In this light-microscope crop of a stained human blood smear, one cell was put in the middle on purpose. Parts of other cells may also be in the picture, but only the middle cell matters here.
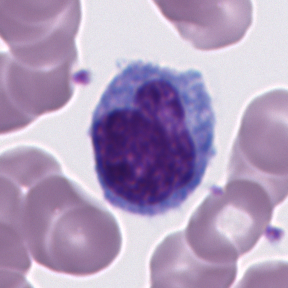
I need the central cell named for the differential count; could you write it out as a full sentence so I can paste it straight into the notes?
In short, the cell at the center is a monocyte.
